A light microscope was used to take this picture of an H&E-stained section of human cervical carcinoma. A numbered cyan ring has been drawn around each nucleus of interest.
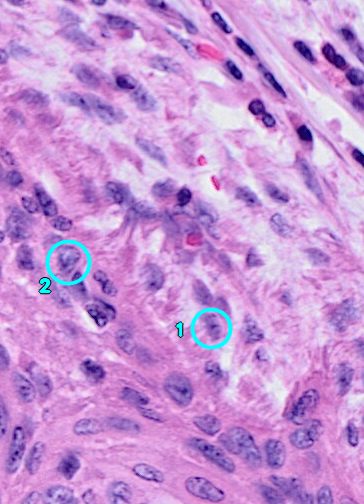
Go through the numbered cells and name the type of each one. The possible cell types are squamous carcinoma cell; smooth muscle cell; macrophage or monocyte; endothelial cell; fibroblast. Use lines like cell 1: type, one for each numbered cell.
cell 1: fibroblast
cell 2: squamous carcinoma cell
